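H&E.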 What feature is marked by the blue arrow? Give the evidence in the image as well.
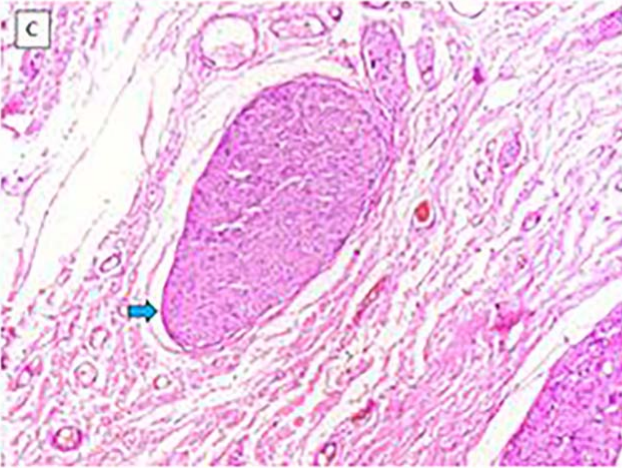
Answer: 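The arrow points to a well-bounded oval bundle. The bundle has a fine wavy fibrillary texture. It lies in loose connective tissue with small vessels. That points to this answer: Nerve trunks.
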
